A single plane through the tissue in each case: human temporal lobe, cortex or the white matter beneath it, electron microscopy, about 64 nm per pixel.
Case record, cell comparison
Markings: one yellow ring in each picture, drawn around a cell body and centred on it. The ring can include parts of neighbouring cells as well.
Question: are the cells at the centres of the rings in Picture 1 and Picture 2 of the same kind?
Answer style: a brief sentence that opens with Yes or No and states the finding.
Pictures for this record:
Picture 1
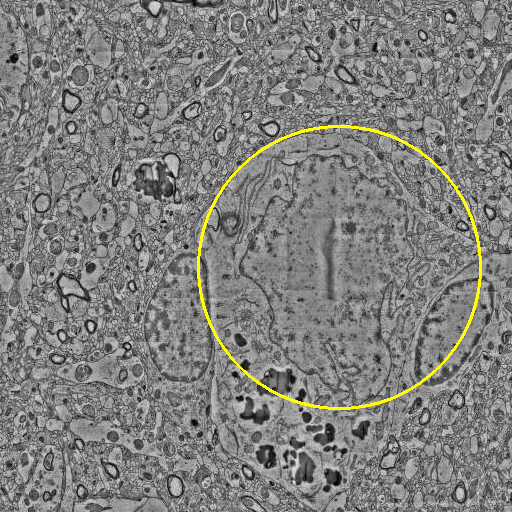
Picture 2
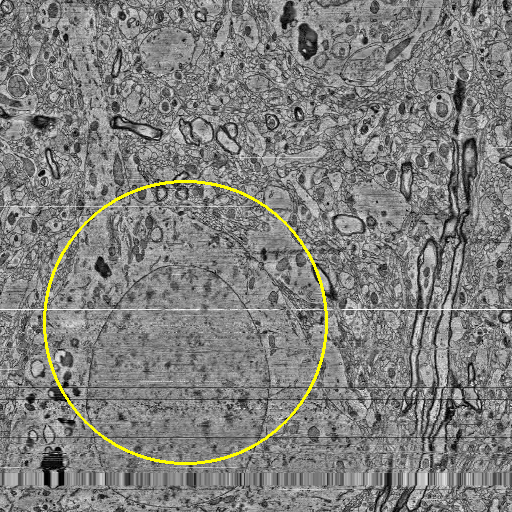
No, the cells in Picture 1 and Picture 2 are of two kinds.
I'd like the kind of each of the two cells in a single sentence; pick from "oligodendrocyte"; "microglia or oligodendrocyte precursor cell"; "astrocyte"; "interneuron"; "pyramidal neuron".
The first ring marks an interneuron, and the second ring marks a pyramidal neuron.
